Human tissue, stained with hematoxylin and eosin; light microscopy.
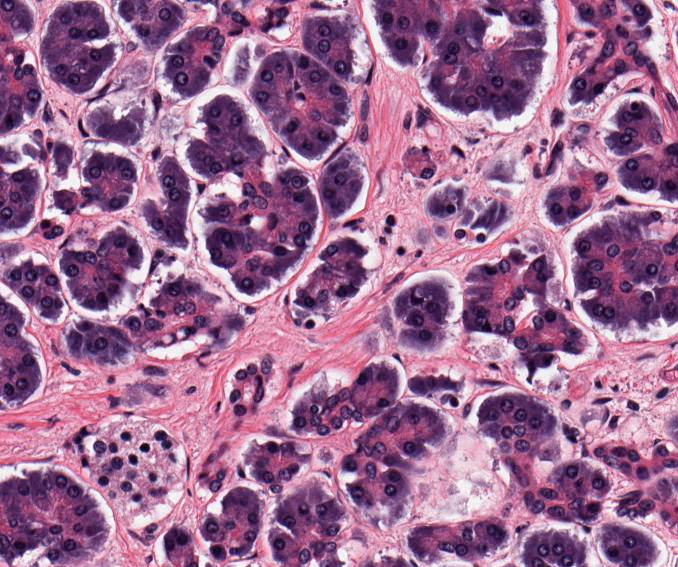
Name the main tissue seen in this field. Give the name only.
exocrine pancreas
